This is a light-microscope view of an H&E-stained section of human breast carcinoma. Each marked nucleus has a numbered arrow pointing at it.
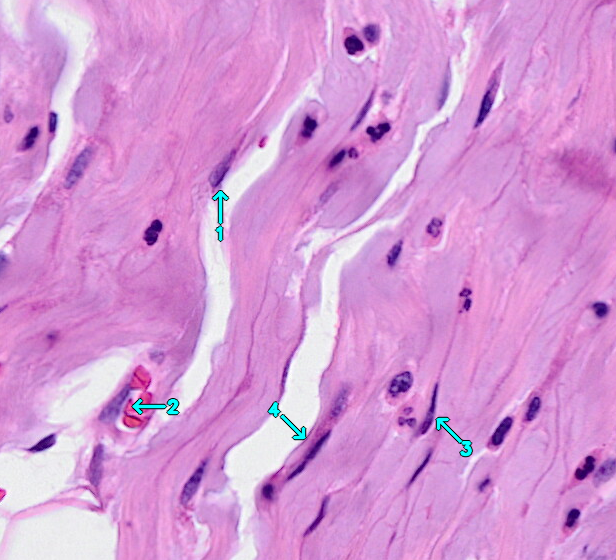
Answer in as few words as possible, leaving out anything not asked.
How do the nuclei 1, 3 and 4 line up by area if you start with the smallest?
4, 3, 1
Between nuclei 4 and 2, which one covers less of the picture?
4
